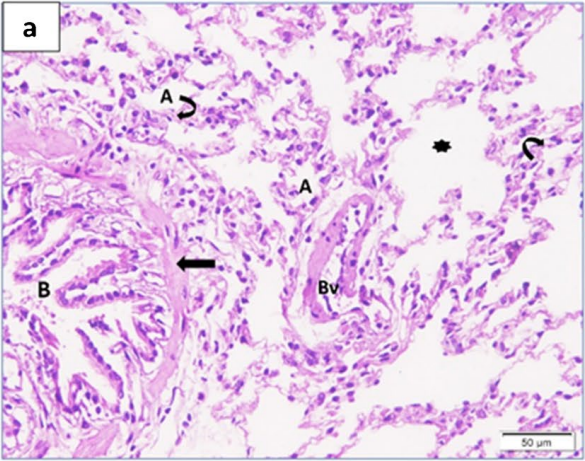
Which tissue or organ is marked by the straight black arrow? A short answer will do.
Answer: Smooth muscles.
